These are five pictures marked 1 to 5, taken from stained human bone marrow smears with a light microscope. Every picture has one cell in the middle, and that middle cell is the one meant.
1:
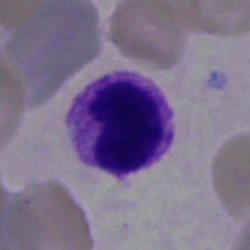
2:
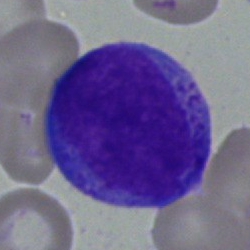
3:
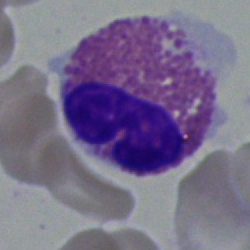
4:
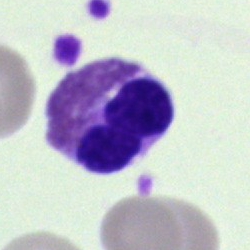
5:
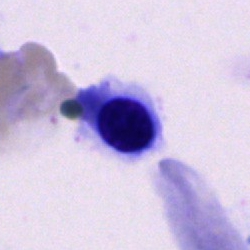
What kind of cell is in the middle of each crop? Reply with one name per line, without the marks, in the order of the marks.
basophil
blast
eosinophil
eosinophil
normoblast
